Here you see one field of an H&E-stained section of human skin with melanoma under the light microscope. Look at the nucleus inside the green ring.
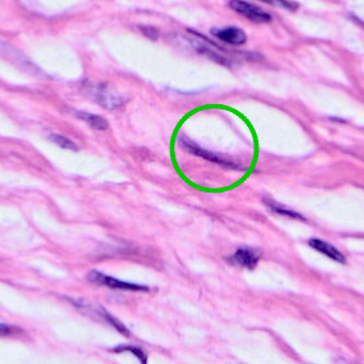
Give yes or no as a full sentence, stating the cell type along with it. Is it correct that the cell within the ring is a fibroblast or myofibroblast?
Yes, the cell within the ring is properly called a fibroblast or myofibroblast in this section.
